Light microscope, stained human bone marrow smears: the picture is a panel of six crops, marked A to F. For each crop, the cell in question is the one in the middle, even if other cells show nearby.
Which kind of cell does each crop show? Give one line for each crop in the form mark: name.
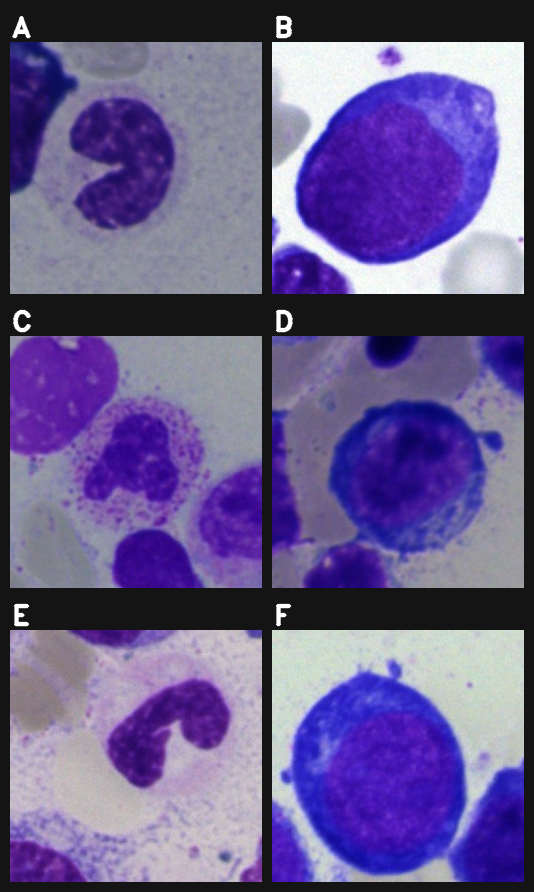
A: band neutrophil
B: proerythroblast
C: segmented neutrophil
D: proerythroblast
E: segmented neutrophil
F: proerythroblast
